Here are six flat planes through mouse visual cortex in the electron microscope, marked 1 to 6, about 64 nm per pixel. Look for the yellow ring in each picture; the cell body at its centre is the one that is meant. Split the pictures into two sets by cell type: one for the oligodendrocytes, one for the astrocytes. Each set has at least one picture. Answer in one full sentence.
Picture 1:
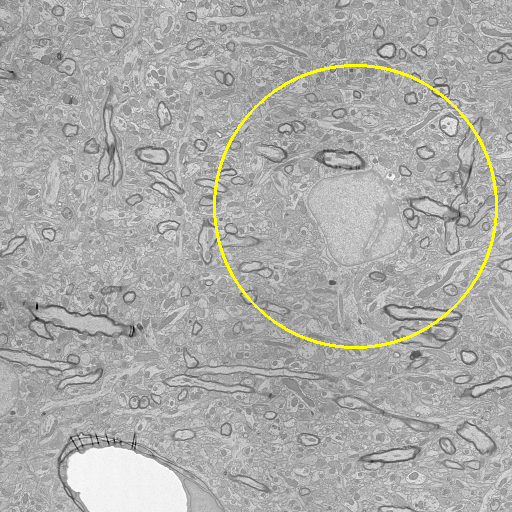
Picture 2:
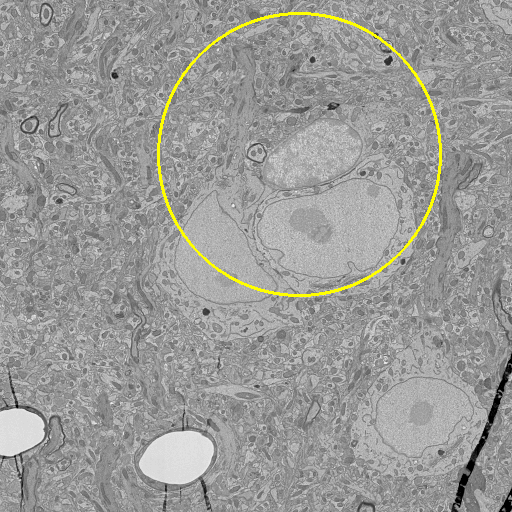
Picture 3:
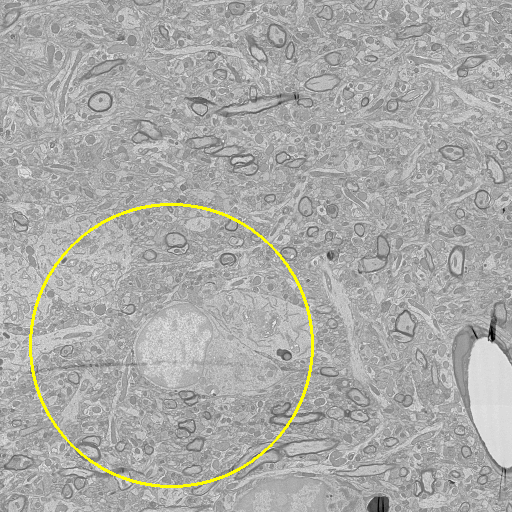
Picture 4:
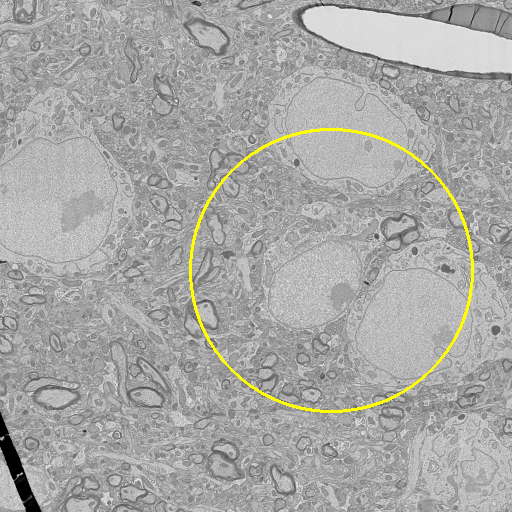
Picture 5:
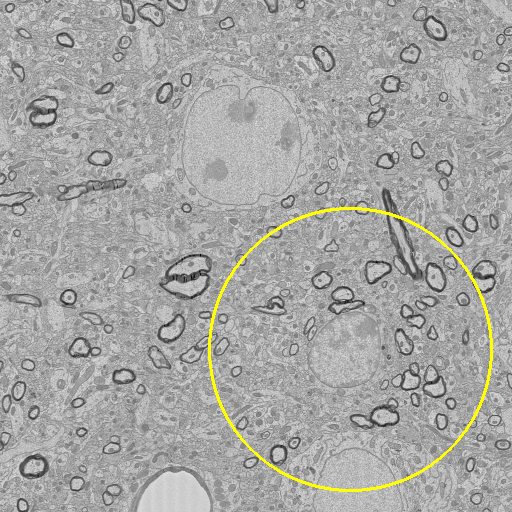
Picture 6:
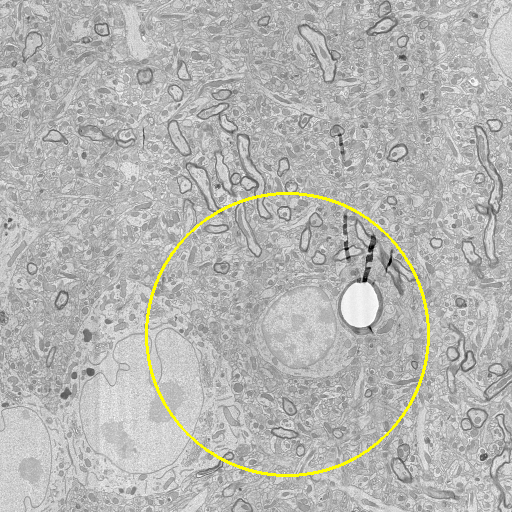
Pictures 2, 3, 5 and 6 show oligodendrocytes, and pictures 1 and 4 show astrocytes.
